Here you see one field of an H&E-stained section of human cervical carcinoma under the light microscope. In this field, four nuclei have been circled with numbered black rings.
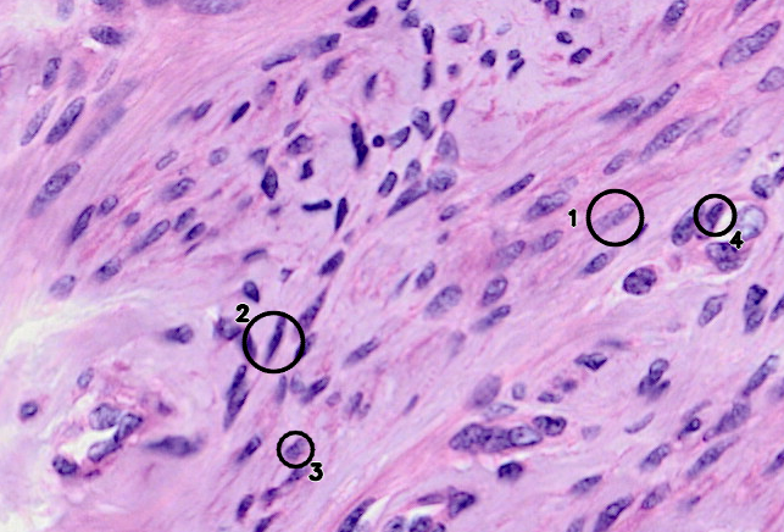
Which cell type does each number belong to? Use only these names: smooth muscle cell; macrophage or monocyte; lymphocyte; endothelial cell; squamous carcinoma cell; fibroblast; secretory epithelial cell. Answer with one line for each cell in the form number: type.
1: smooth muscle cell
2: fibroblast
3: smooth muscle cell
4: endothelial cell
